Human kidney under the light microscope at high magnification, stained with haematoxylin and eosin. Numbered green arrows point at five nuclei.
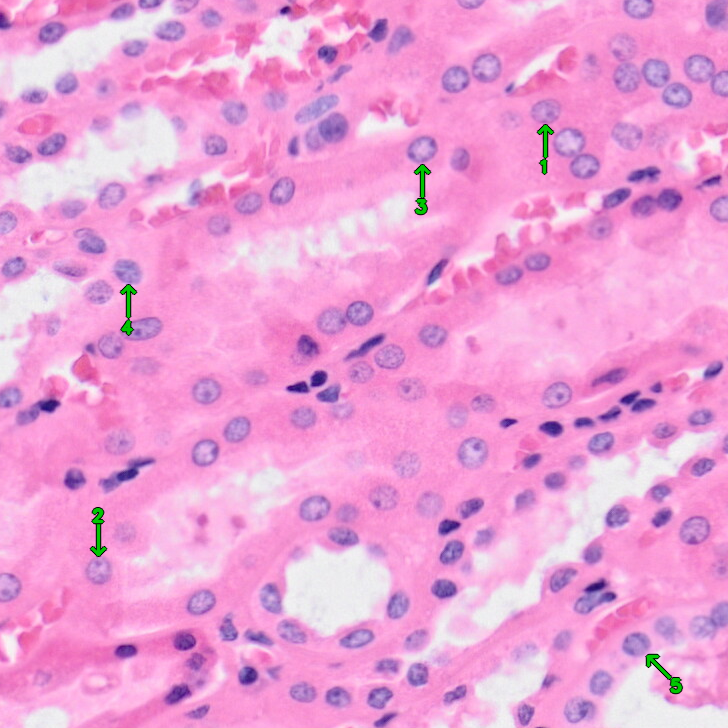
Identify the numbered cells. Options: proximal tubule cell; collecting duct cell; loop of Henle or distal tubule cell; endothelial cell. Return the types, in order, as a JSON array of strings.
["proximal tubule cell", "proximal tubule cell", "proximal tubule cell", "loop of Henle or distal tubule cell", "collecting duct cell"]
